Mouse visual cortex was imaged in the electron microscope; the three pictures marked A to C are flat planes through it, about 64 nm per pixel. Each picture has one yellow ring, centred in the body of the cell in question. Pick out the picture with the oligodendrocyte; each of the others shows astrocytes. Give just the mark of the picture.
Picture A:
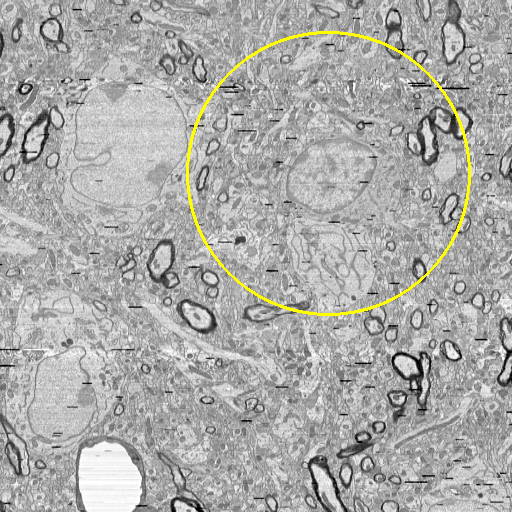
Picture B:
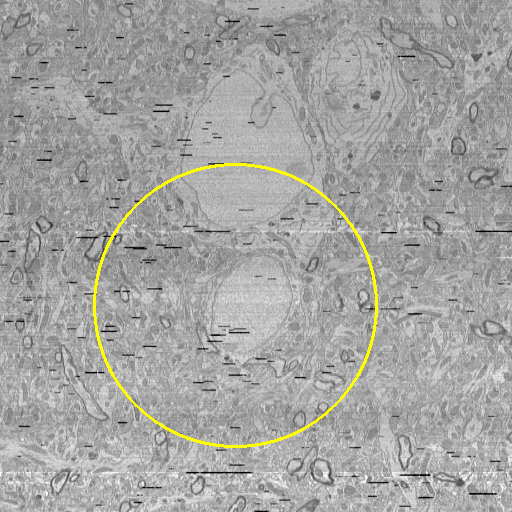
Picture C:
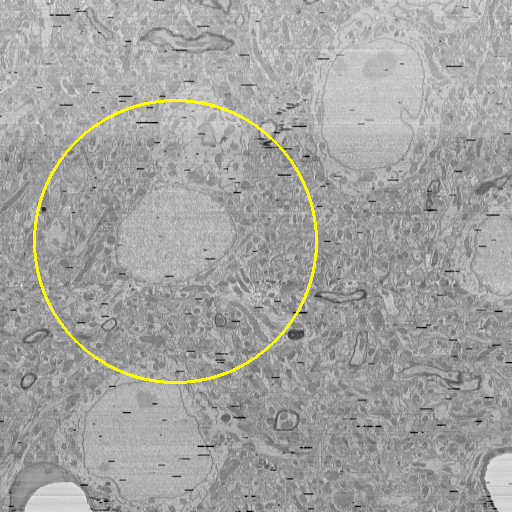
A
